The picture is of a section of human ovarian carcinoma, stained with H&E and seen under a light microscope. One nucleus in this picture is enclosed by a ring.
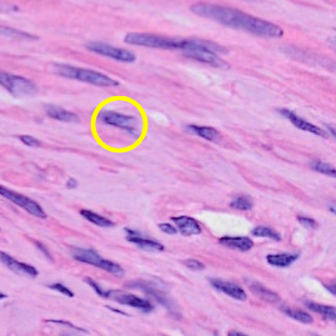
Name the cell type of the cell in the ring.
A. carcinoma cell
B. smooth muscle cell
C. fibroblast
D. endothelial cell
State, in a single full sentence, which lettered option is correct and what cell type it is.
Option B is correct here; the cell in the ring is a smooth muscle cell.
